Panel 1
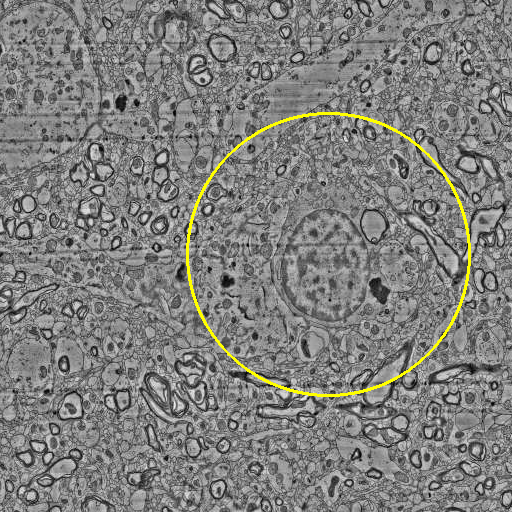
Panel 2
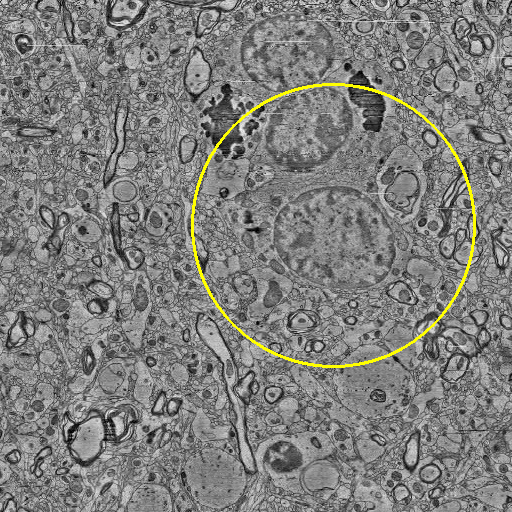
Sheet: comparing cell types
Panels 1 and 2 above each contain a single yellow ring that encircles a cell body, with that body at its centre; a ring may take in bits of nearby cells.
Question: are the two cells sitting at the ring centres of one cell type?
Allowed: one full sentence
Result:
Yes, the ring-centre cells in Panel 1 and Panel 2 are of one type.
